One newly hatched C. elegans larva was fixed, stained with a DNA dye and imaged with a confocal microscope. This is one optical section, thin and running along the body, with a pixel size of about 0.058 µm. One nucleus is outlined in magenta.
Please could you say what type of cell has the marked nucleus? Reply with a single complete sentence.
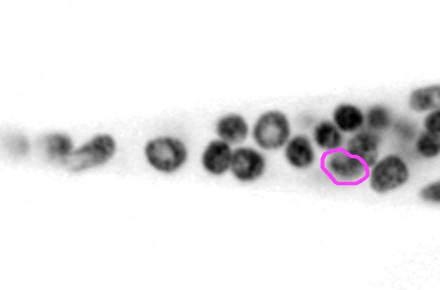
This is the nucleus of a body wall muscle cell.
